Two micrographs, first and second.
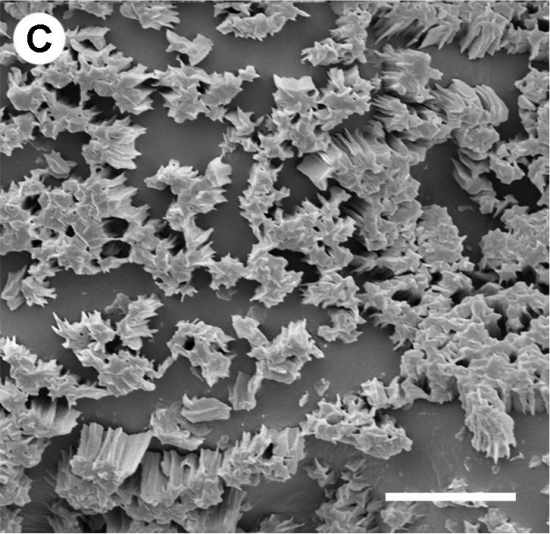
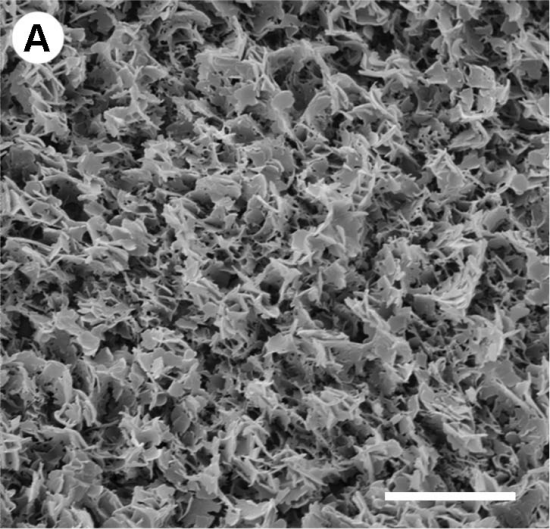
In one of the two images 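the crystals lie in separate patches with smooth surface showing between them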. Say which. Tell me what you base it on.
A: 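First image: crystal clusters are scattered with broad smooth areas between them. Second image: thin plates cover the whole field with no bare surface visible.
Hence: the first image.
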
